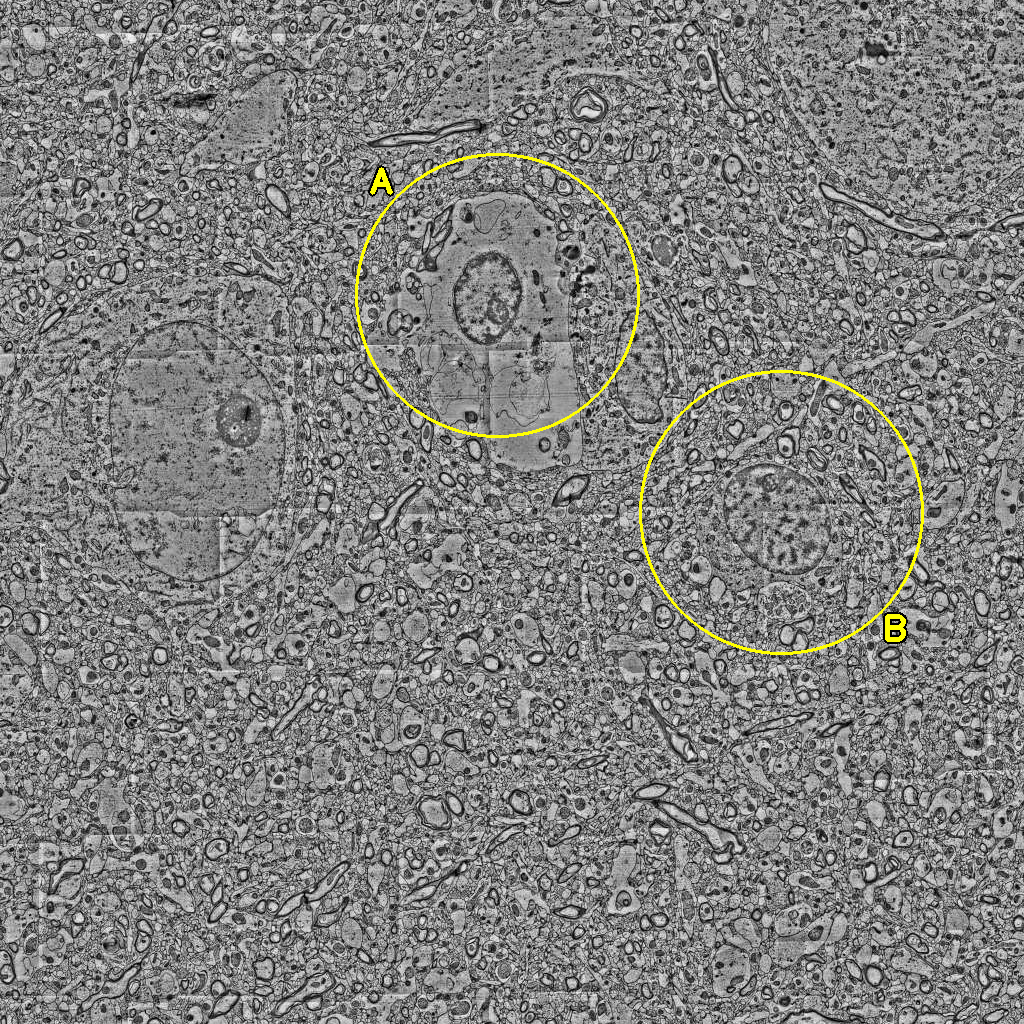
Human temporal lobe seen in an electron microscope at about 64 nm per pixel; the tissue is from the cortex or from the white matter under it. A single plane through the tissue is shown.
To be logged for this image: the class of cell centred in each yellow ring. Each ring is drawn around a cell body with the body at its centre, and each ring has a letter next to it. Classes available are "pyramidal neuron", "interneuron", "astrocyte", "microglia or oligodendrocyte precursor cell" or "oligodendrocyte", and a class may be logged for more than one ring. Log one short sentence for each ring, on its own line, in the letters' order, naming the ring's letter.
The class recorded for ring A is an astrocyte.
The class recorded for ring B is an oligodendrocyte.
